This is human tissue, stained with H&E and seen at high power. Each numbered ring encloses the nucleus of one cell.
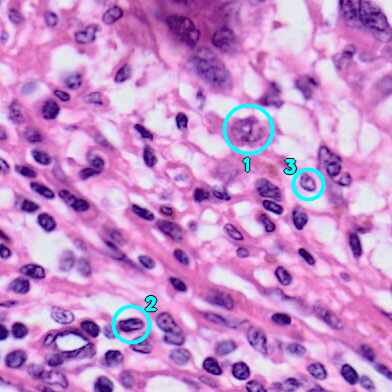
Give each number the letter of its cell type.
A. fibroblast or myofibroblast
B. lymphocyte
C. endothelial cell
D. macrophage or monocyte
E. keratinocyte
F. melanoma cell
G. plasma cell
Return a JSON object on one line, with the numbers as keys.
{"1": "F", "2": "B", "3": "B"}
